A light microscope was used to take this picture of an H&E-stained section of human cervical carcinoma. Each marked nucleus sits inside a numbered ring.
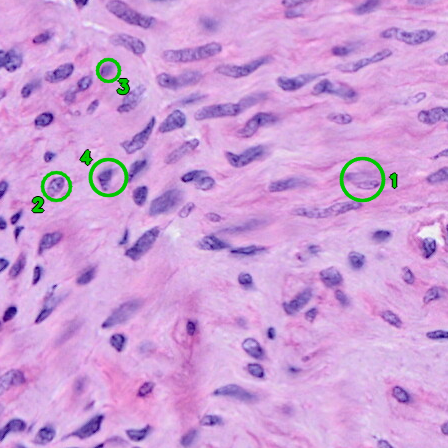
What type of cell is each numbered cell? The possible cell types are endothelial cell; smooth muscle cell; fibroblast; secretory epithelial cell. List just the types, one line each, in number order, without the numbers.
smooth muscle cell
smooth muscle cell
smooth muscle cell
fibroblast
